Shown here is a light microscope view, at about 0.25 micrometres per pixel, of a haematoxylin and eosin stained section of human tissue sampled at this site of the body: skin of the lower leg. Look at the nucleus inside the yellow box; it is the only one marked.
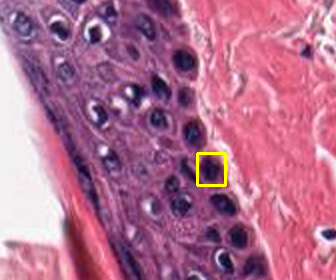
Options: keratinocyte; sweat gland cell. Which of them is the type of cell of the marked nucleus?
keratinocyte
